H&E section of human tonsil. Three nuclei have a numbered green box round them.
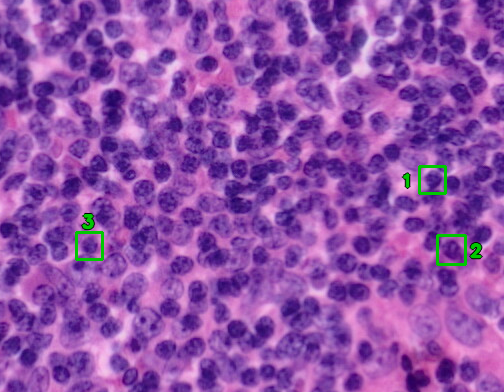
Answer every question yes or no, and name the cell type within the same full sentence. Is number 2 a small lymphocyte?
No, the identification of cell 2 as a small lymphocyte is incorrect; it is a plasma cell.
